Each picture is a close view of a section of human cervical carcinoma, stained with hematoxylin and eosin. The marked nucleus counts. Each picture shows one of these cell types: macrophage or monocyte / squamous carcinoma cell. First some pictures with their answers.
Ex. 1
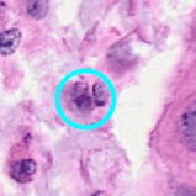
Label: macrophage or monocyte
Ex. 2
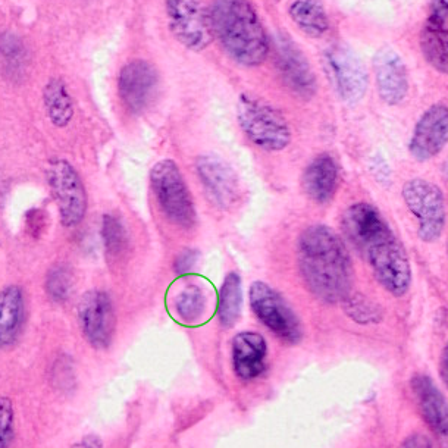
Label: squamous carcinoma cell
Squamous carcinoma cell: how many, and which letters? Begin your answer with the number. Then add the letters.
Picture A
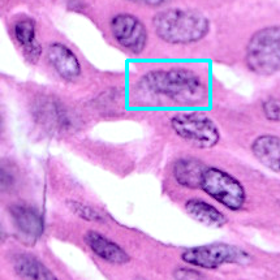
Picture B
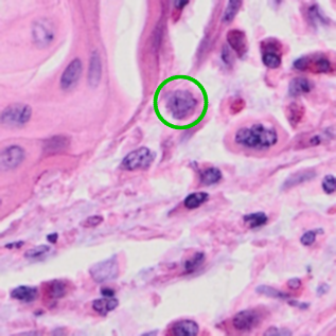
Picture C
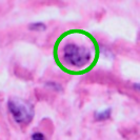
1: A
